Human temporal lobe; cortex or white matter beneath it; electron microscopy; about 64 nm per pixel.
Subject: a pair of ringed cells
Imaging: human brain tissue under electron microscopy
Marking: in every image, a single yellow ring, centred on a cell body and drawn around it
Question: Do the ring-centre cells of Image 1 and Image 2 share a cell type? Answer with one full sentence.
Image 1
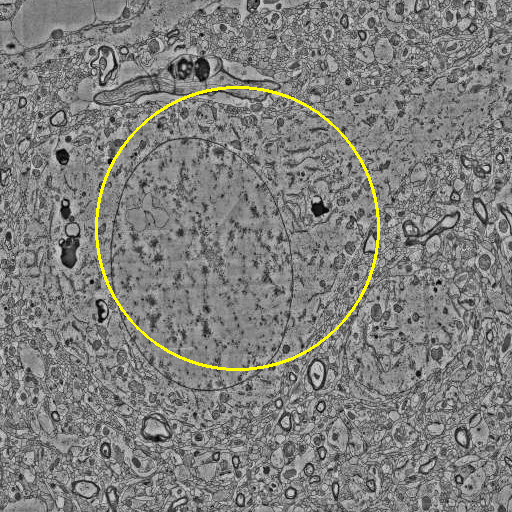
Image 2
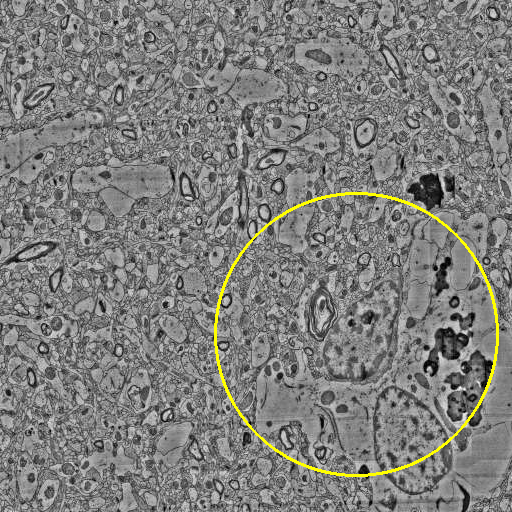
No, at the ring centres in the images sit cells of two separate types.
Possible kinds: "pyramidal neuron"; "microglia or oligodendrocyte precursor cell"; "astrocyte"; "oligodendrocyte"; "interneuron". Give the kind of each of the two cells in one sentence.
The cell in the second picture is an oligodendrocyte, and that in the first is a pyramidal neuron.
